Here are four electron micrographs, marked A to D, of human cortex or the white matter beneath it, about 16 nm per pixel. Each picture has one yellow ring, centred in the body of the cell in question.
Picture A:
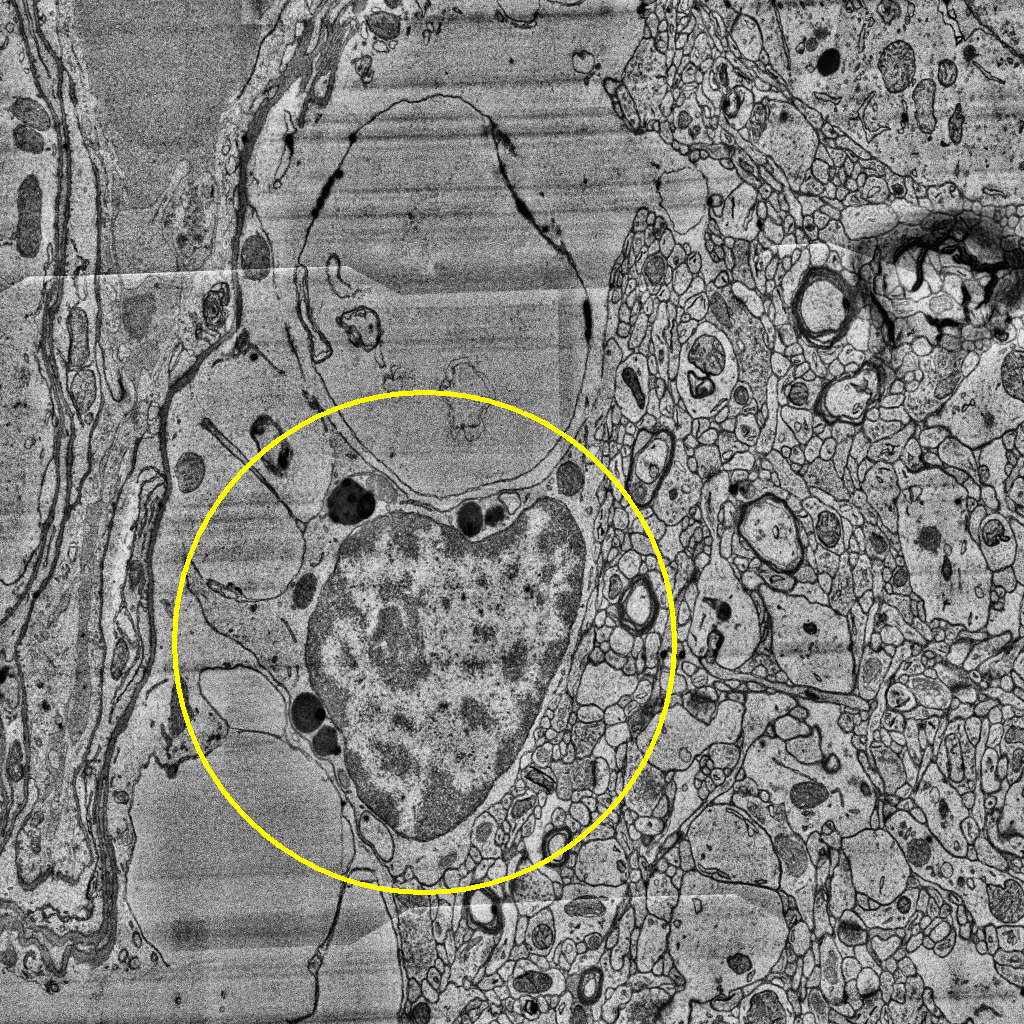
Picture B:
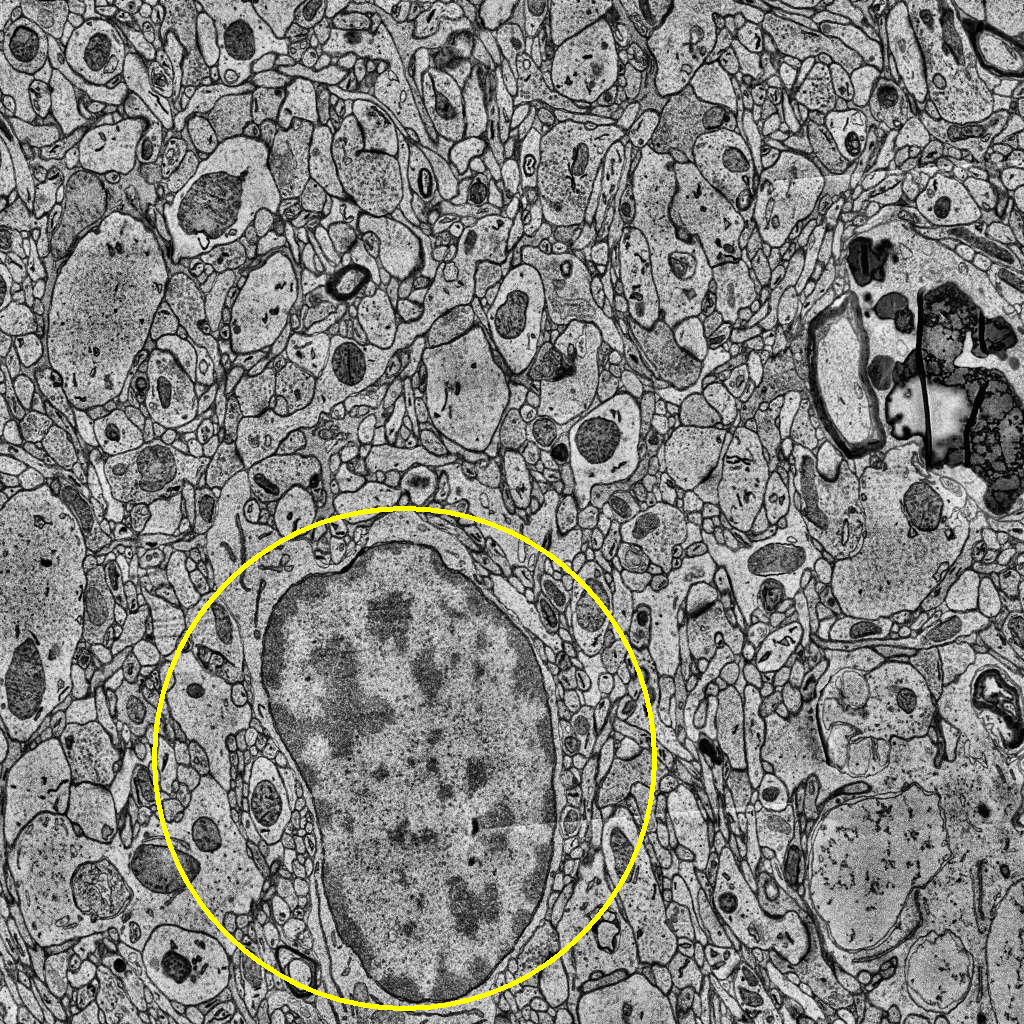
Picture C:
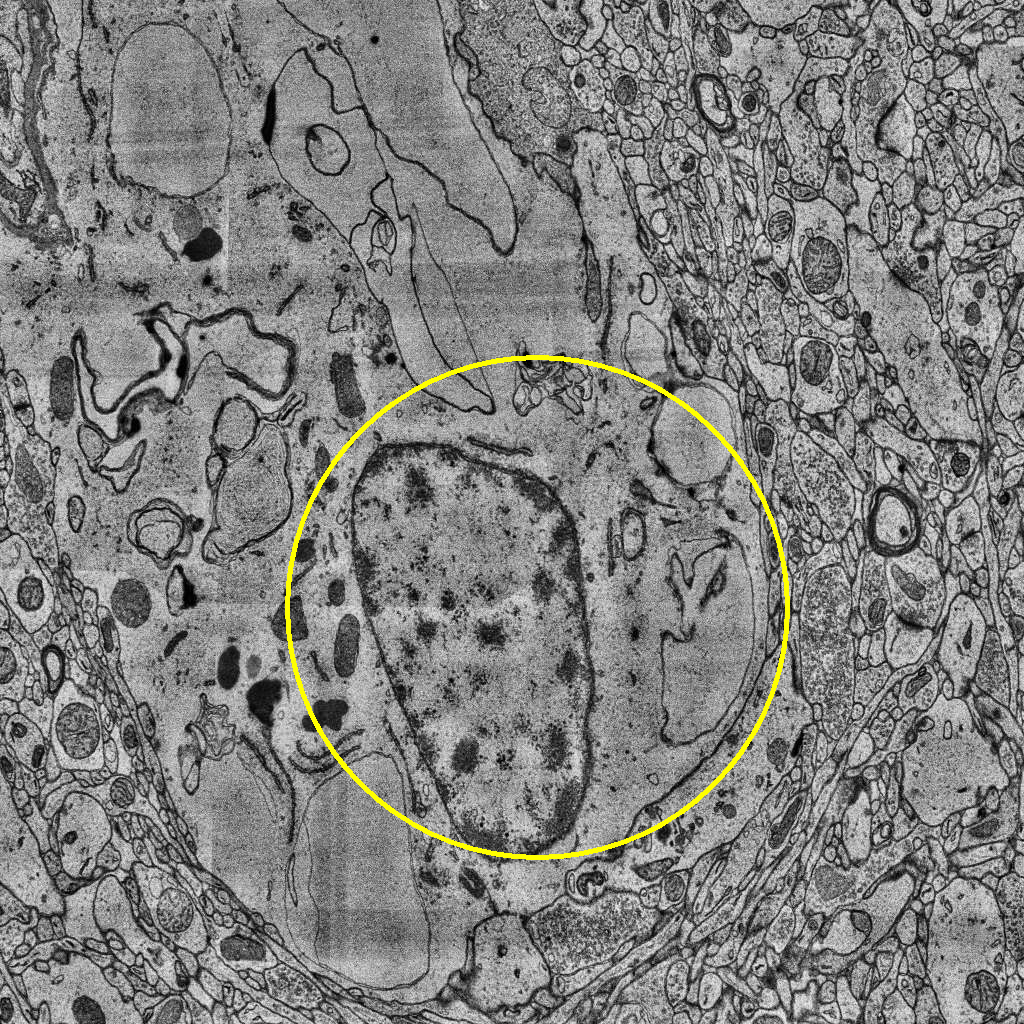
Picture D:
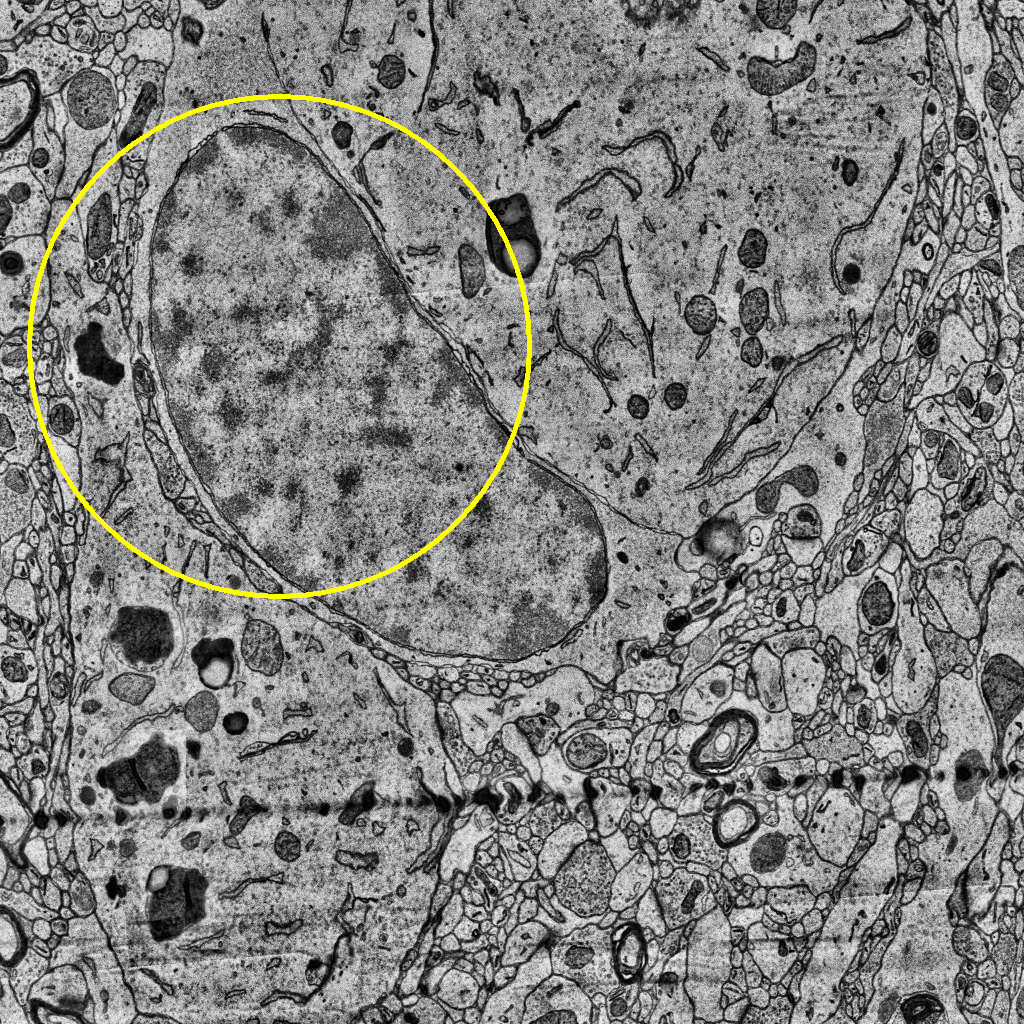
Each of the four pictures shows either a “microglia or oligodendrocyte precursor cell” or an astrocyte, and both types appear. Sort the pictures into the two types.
Pictures A, B and D show “microglia or oligodendrocyte precursor cells”, and picture C shows an astrocyte.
